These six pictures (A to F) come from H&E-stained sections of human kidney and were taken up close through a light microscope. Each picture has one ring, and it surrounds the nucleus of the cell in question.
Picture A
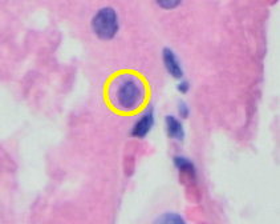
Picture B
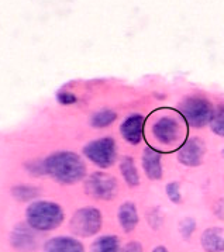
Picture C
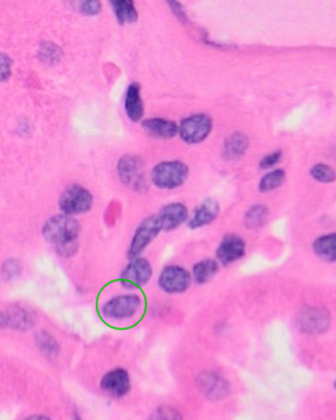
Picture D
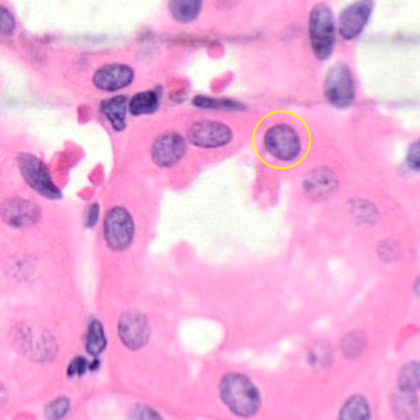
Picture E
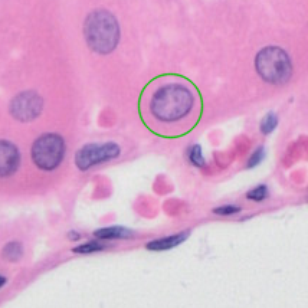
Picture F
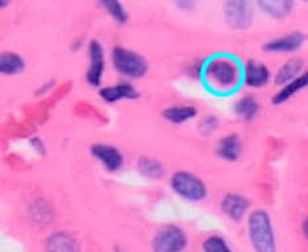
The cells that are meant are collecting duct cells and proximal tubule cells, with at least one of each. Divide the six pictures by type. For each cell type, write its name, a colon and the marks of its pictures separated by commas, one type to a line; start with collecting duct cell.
collecting duct cell: B, C, F
proximal tubule cell: A, D, E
